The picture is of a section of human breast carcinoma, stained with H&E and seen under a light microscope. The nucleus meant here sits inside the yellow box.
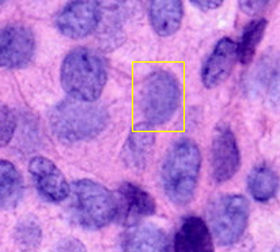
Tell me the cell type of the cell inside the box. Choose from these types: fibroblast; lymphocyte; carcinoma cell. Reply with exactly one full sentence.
In this section, the cell inside the box is a carcinoma cell.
